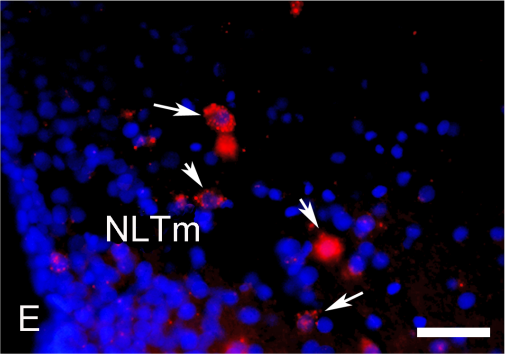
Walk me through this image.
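Scattered blue nuclei lie in neural tissue, with a dense band of packed nuclei along the lower left edge. Several cells, marked by white arrows, are covered by red dots around their nuclei, and one cell nearby is intensely and evenly red. Many surrounding nuclei lack red.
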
